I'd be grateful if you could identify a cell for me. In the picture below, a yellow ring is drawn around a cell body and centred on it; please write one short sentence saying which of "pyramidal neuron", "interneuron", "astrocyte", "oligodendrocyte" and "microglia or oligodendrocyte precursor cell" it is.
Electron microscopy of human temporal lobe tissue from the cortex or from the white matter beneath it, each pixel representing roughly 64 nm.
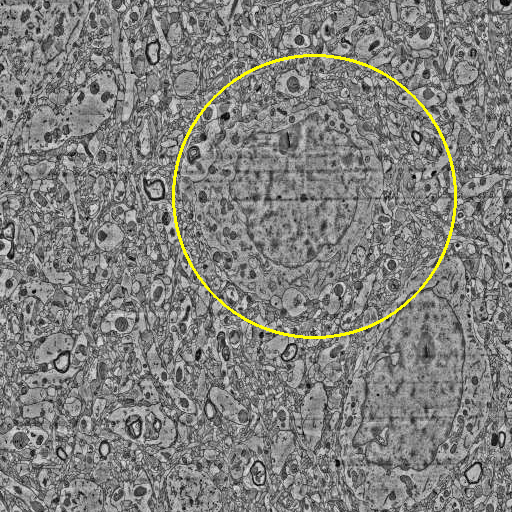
The cell under the ring's centre is an interneuron.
